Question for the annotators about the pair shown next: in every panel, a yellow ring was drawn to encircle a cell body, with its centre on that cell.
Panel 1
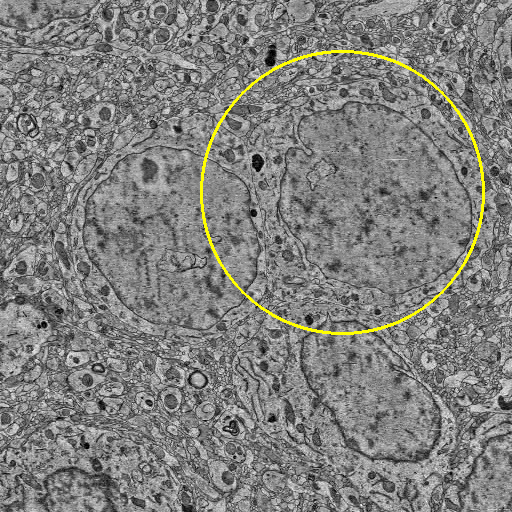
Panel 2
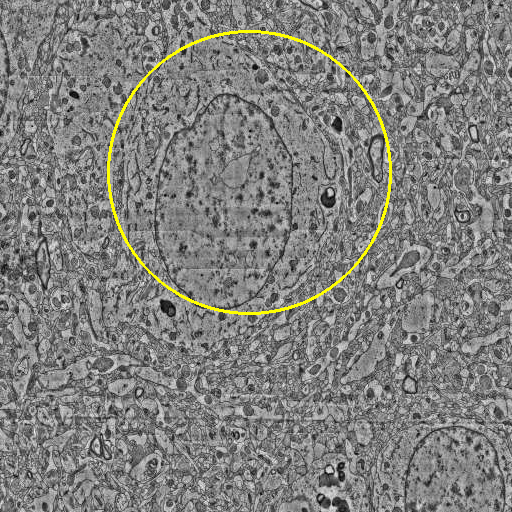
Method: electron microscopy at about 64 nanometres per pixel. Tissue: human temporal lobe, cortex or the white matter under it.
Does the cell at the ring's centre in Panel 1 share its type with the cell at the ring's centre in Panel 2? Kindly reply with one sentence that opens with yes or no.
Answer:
Yes, in Panels 1 and 2 the cells at the ring centres belong to a single type.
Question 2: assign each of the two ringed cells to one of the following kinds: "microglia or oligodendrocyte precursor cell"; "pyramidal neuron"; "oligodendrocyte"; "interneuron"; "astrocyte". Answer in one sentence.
The first and the second cell are each a pyramidal neuron.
